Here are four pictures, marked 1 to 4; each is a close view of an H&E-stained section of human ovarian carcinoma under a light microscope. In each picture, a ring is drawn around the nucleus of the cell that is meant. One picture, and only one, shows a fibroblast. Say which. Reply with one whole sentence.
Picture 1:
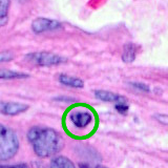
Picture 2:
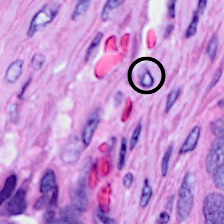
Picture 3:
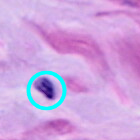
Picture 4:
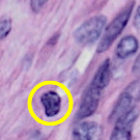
Picture 2 shows the fibroblast.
